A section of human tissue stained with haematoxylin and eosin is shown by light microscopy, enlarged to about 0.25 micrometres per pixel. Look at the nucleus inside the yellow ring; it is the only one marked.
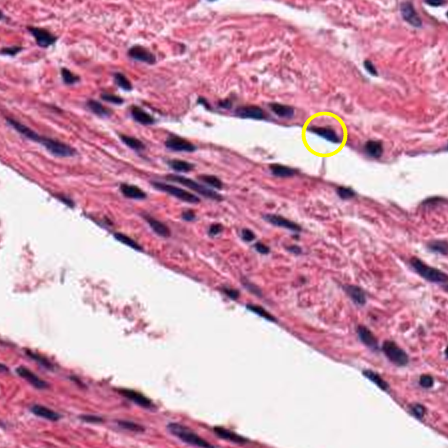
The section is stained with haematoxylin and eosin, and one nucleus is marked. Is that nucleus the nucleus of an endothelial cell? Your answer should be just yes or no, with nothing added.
yes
